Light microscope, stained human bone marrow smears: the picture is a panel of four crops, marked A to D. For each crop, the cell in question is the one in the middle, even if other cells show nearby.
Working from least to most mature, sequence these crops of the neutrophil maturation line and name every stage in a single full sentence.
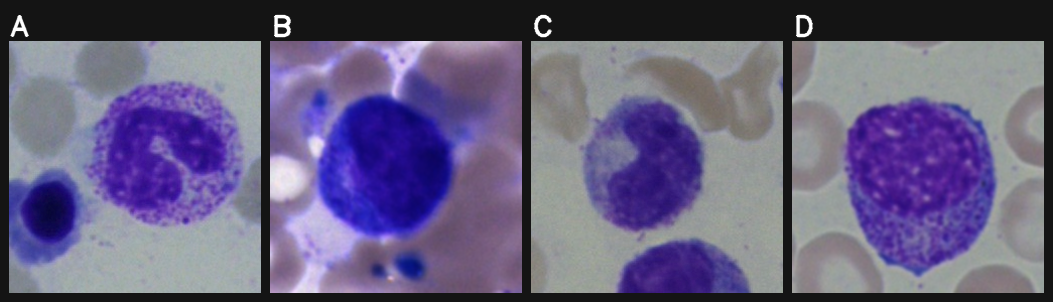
The crops, when placed from least to most mature, read crop B (a promyelocyte), crop D (a myelocyte), crop C (a metamyelocyte) and crop A (a band neutrophil).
